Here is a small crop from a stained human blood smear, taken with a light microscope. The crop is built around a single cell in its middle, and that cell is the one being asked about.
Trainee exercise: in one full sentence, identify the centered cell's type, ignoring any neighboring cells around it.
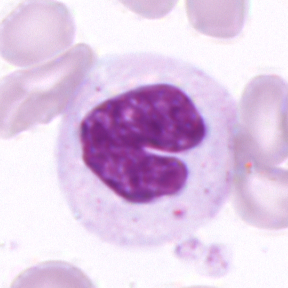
The crop centres on a single cell, and that cell is a band neutrophil.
